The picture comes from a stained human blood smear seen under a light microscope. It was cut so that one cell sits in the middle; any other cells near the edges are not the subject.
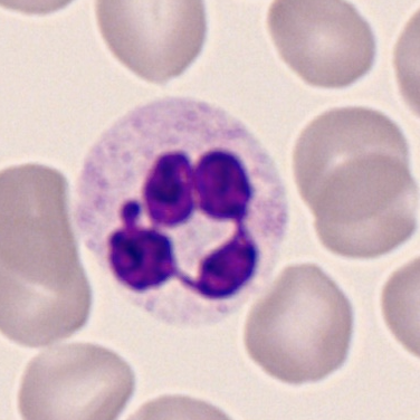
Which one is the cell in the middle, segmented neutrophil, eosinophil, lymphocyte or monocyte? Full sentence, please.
Centrally within this crop lies a segmented neutrophil.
